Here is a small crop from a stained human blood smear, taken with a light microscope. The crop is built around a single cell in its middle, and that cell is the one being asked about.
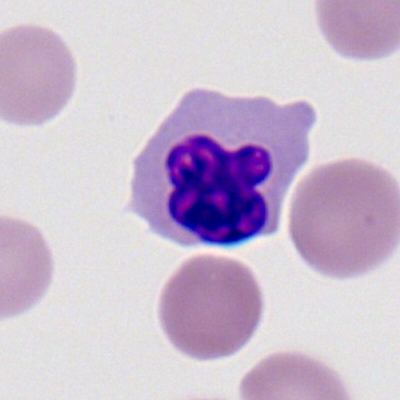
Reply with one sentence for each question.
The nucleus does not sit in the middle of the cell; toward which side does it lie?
It is shifted toward the bottom of the cell.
